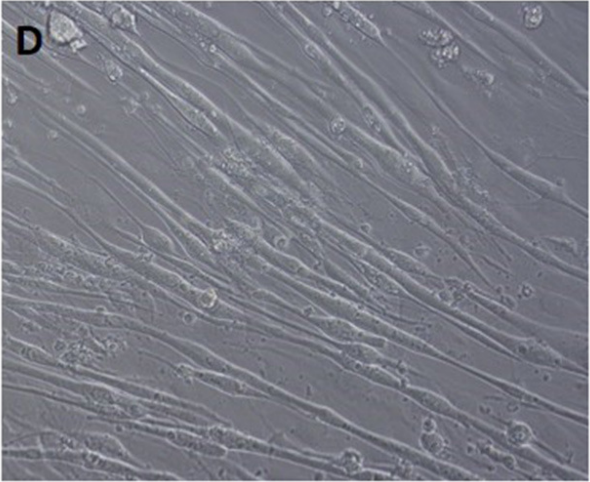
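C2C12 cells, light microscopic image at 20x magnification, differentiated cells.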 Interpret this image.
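This cultured muscle cell preparation shows myotubes, seen as long, slender, unbranched tube-like fibres running in parallel diagonally across the field. The fibres are narrow and very elongated, far longer than ordinary single cells, and lie closely side by side. Between and on top of them lie scattered small rounded cells and granular debris. The cells are unstained and appear grey, with bright edges outlining each fibre.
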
